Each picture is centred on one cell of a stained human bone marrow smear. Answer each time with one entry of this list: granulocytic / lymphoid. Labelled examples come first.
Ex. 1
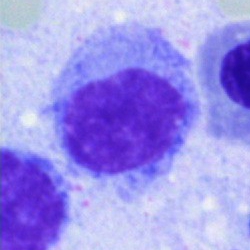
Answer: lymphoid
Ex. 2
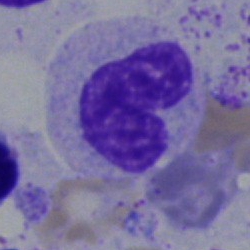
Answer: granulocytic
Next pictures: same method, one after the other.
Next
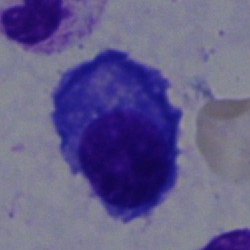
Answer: lymphoid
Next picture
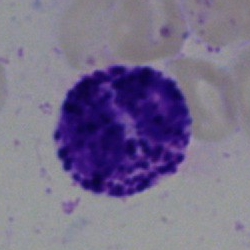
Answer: granulocytic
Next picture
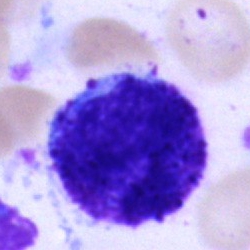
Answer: granulocytic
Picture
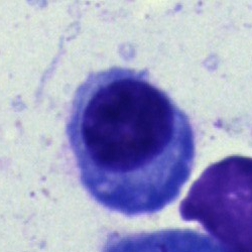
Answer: lymphoid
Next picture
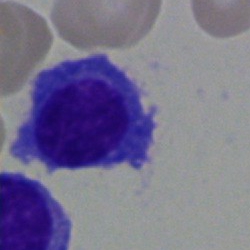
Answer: lymphoid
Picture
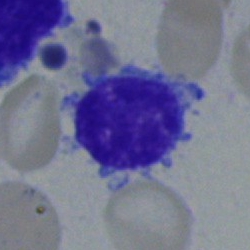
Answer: lymphoid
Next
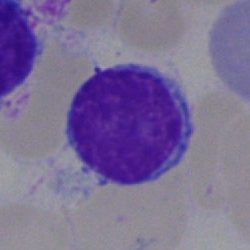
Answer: lymphoid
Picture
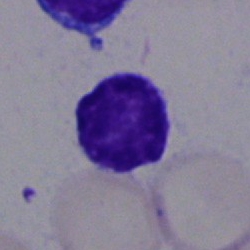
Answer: lymphoid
